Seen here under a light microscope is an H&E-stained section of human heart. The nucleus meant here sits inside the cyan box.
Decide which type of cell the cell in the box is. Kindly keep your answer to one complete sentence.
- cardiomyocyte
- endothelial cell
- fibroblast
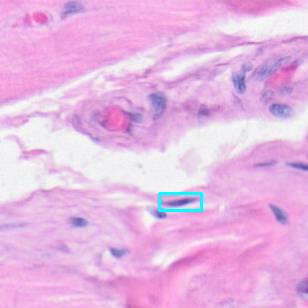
In the context of this tissue, the cell in the box is a fibroblast.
